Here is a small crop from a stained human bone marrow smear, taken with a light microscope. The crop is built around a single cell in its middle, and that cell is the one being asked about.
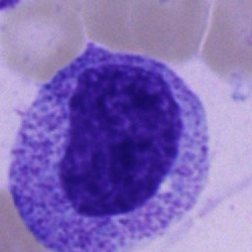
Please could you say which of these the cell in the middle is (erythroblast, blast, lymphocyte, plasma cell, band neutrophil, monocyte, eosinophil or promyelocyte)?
promyelocyte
